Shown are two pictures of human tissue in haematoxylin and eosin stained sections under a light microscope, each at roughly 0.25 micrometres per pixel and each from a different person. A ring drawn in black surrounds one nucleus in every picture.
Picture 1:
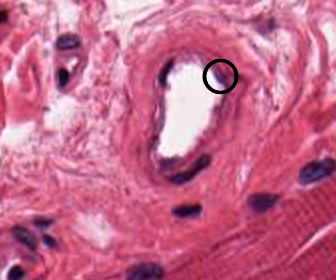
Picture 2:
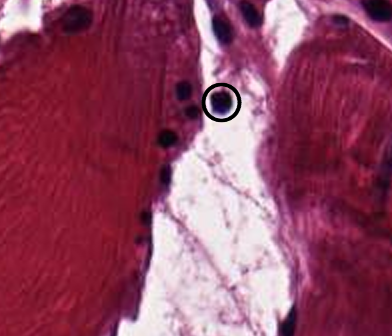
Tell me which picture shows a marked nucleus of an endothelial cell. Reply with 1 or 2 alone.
1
